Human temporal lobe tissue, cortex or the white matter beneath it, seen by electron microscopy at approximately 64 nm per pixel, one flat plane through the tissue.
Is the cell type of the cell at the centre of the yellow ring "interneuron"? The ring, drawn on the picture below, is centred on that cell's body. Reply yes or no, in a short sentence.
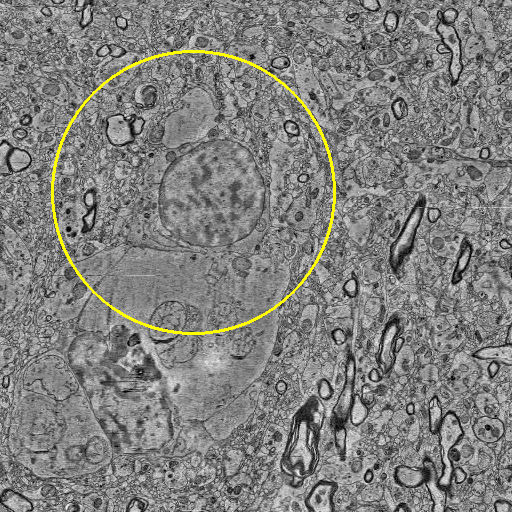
No, its cell type is another.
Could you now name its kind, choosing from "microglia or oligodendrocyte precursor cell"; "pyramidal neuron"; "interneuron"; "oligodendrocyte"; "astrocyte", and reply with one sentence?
Instead, the cell at the centre of the ring is an oligodendrocyte.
